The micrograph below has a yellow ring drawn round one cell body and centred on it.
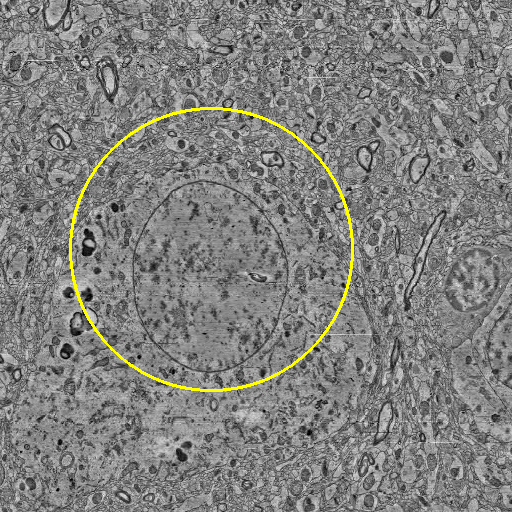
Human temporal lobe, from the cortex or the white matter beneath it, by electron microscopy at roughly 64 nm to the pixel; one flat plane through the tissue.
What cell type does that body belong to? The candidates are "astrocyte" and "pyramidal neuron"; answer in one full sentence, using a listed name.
This is a pyramidal neuron, the cell whose body lies at the centre of the ring.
